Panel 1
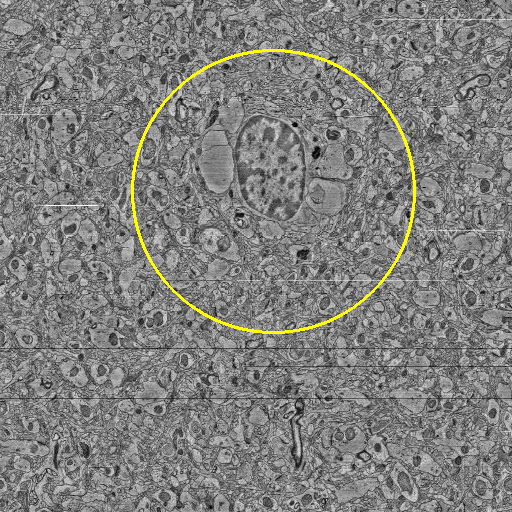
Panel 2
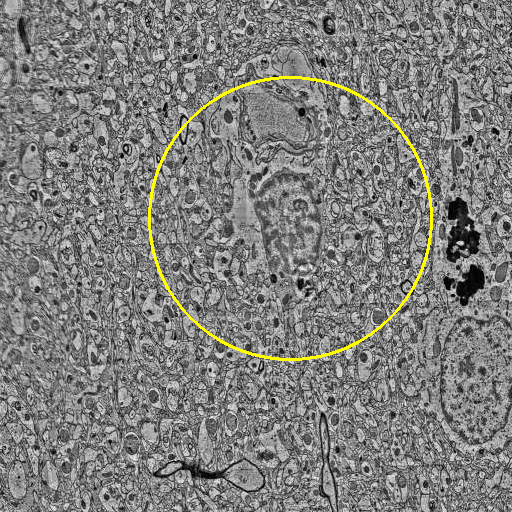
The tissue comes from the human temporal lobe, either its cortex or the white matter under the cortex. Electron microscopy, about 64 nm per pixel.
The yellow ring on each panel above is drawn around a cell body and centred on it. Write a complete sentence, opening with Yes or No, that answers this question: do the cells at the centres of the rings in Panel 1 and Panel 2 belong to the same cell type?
No, the two cells belong to two cell types.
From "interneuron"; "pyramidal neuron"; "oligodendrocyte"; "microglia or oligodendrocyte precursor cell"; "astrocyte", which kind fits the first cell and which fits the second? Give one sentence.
The cell marked in the first picture is a microglial cell or oligodendrocyte precursor cell, and the one marked in the second is an oligodendrocyte.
